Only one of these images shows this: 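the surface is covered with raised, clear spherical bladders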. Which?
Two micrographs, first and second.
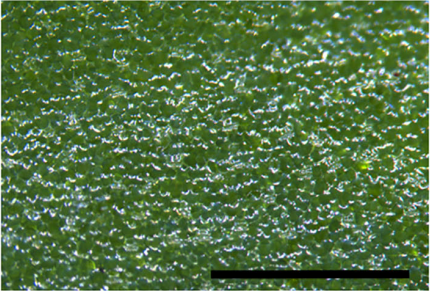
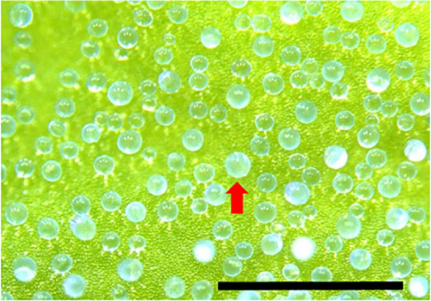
The second image.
